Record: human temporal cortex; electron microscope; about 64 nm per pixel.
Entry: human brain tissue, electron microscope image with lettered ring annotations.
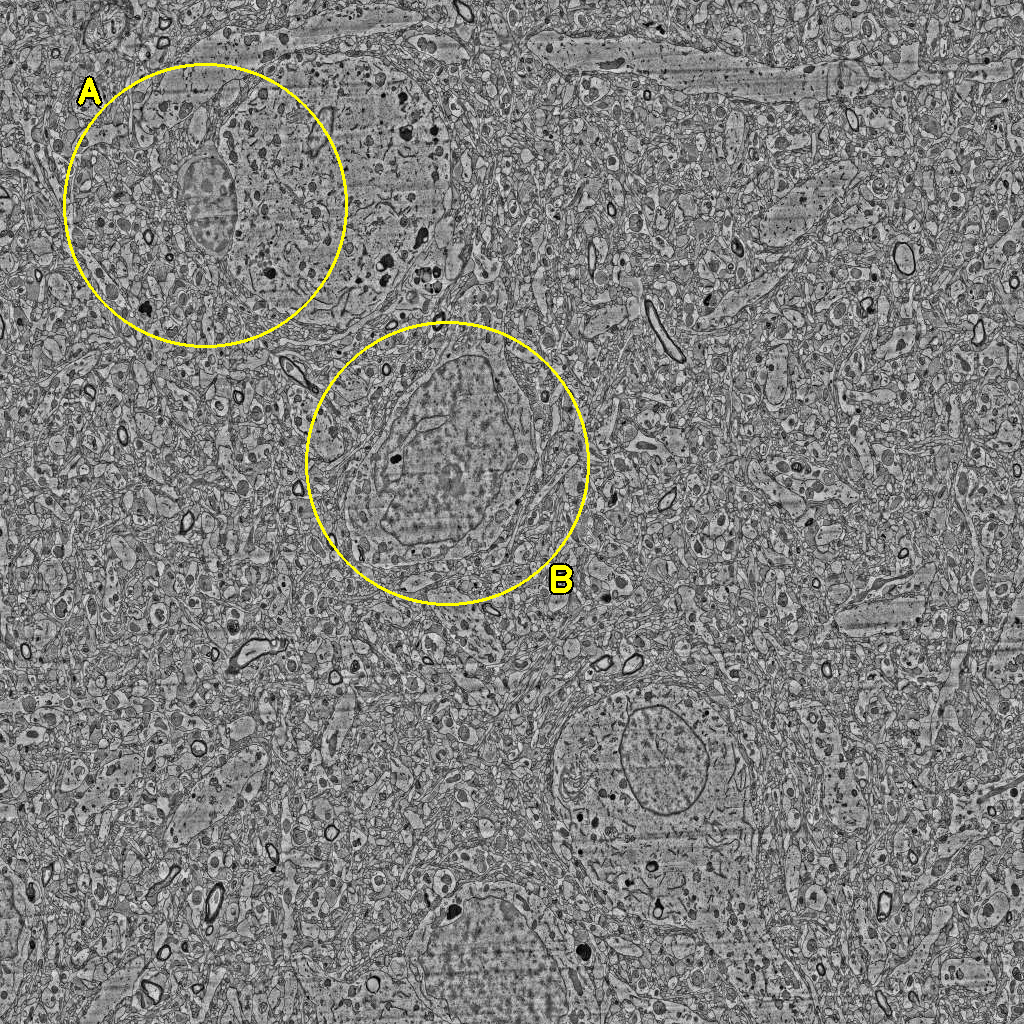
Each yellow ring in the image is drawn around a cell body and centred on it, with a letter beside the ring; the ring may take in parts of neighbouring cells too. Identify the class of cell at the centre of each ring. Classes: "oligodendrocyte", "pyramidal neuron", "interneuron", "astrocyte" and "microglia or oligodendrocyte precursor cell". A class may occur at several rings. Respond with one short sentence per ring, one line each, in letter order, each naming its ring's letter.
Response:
Ring A holds an oligodendrocyte at its centre.
Ring B holds an interneuron at its centre.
